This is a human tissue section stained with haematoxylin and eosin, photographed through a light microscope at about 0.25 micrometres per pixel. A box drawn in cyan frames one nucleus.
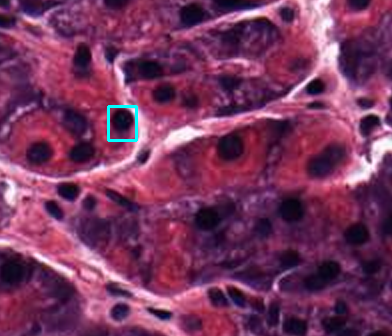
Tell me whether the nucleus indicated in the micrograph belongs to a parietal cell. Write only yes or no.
yes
